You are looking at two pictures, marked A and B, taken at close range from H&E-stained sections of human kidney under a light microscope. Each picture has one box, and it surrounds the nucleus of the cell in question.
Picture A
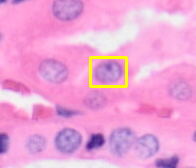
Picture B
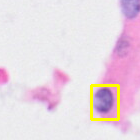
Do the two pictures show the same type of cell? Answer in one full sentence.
No, the types are not the same, since picture A shows a proximal tubule cell and picture B a “loop of Henle or distal tubule cell”.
